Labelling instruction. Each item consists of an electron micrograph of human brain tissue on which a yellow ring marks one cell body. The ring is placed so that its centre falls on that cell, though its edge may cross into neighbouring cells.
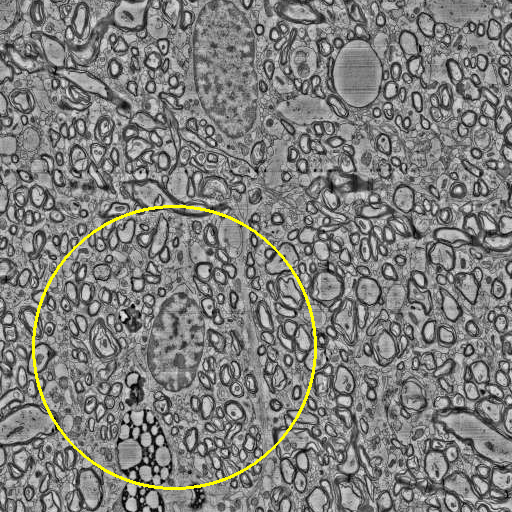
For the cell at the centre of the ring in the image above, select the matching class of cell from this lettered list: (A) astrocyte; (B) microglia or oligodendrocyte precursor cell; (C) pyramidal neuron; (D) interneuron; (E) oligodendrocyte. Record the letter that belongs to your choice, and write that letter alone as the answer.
B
